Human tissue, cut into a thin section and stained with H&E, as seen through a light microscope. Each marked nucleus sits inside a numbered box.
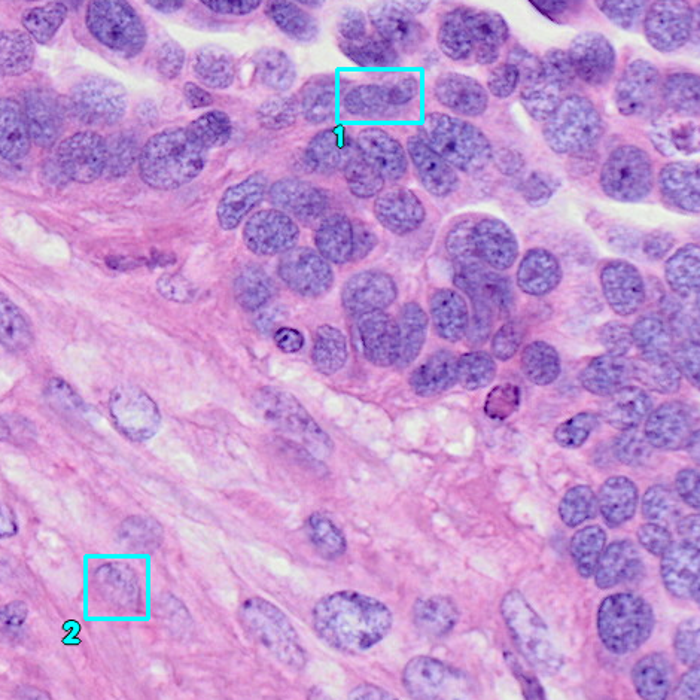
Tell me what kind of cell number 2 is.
fibroblast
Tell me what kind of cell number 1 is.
carcinoma cell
